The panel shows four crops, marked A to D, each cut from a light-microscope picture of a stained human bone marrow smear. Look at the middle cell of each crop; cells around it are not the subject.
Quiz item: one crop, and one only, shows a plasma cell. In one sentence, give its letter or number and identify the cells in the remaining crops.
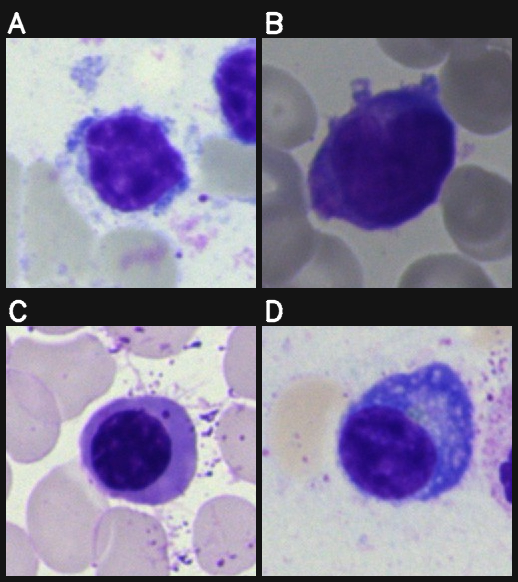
What crop D shows is a plasma cell, while crop A is a lymphocyte, crop B is a blast and crop C is an erythroblast.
